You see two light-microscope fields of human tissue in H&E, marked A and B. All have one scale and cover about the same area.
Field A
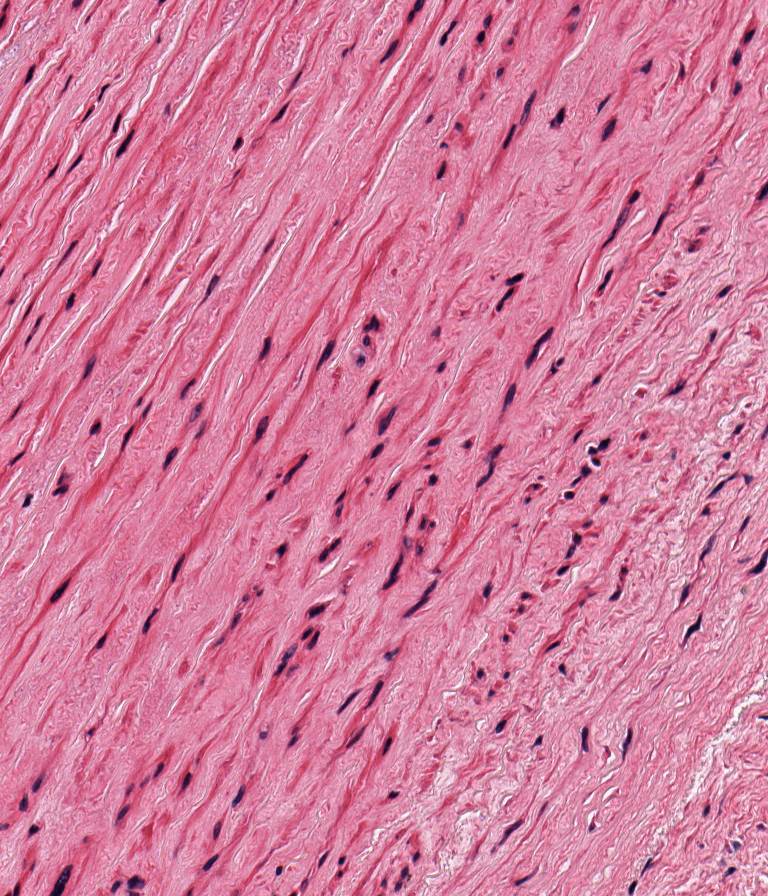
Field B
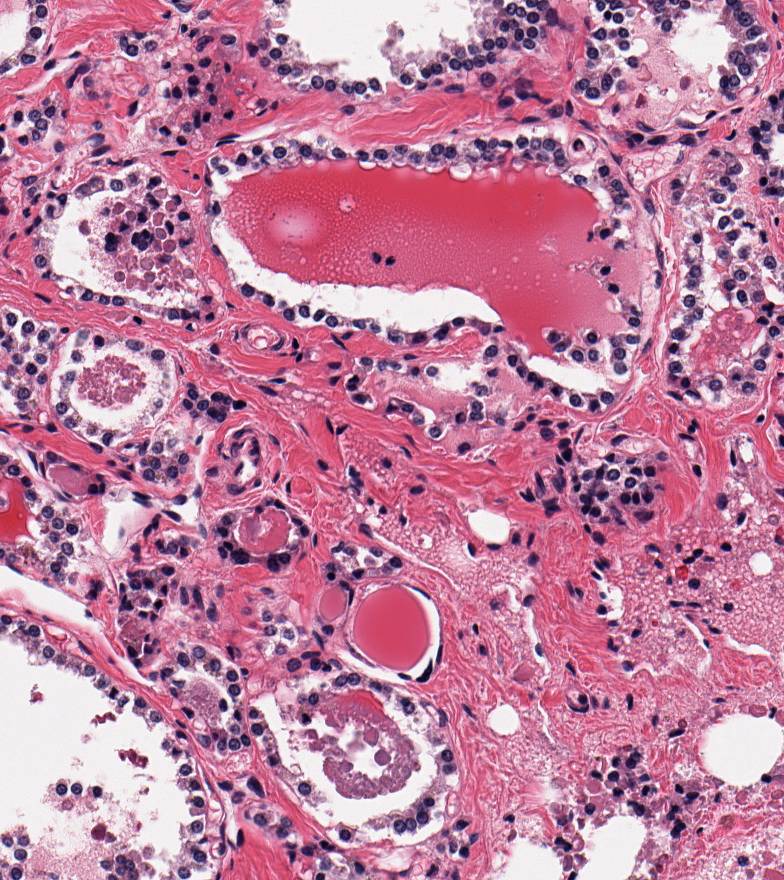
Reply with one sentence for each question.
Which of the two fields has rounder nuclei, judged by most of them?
Rounder nuclei lie in field B.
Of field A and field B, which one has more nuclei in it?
There are more nuclei in field B.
